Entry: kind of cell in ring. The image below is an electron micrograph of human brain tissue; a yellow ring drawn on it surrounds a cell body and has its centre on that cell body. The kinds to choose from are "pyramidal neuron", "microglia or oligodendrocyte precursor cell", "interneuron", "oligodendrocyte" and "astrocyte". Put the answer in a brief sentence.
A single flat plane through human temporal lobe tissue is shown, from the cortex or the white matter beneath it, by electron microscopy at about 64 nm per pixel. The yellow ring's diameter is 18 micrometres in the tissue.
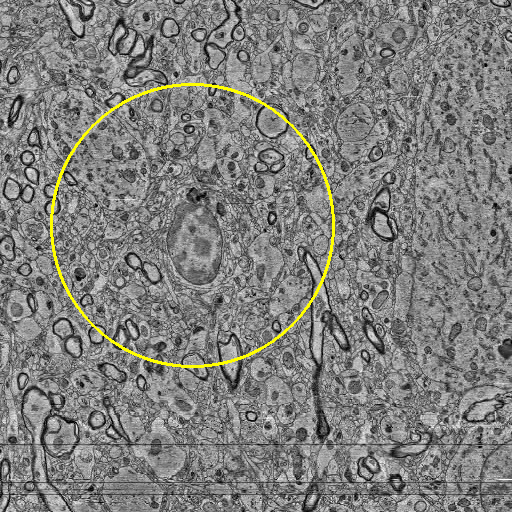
The ring has been drawn around a microglial cell or oligodendrocyte precursor cell.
